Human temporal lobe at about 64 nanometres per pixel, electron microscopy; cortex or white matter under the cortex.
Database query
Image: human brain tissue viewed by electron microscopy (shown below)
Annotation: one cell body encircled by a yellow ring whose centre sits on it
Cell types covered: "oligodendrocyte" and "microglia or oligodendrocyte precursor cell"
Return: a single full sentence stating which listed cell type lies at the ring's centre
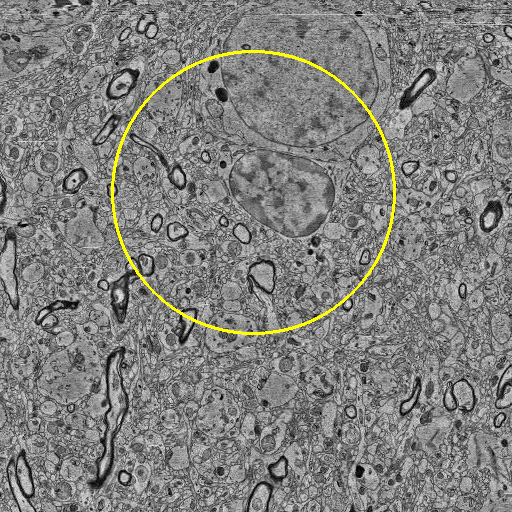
In the image, the cell lying at the ring's centre is a microglial cell or oligodendrocyte precursor cell.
